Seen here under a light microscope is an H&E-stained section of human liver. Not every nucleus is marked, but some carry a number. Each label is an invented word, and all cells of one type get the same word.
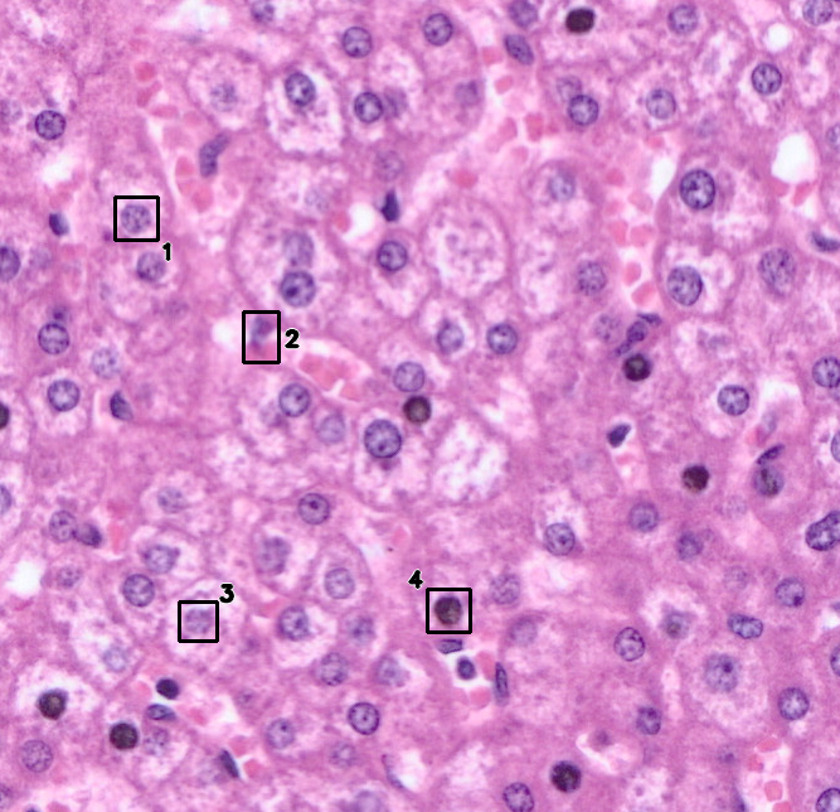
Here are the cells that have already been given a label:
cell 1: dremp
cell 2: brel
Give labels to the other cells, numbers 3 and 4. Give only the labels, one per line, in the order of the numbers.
dremp
dremp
